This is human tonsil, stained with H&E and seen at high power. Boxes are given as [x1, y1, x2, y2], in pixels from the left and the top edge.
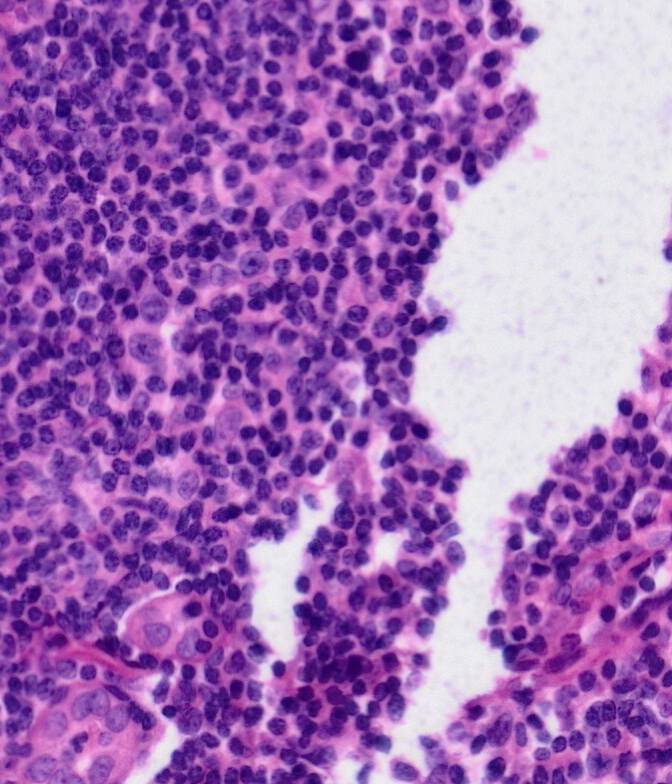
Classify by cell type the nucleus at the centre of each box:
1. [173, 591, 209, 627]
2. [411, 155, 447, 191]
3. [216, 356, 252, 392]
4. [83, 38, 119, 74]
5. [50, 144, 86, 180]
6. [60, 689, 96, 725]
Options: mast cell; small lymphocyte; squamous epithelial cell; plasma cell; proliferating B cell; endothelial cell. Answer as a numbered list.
1. endothelial cell
2. small lymphocyte
3. small lymphocyte
4. small lymphocyte
5. small lymphocyte
6. endothelial cell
